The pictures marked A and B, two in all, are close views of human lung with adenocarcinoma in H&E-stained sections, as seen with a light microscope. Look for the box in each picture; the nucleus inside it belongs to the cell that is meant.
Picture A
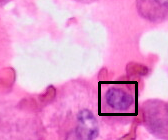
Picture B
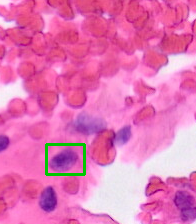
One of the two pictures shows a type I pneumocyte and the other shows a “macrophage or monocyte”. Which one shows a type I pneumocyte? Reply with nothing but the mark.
B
